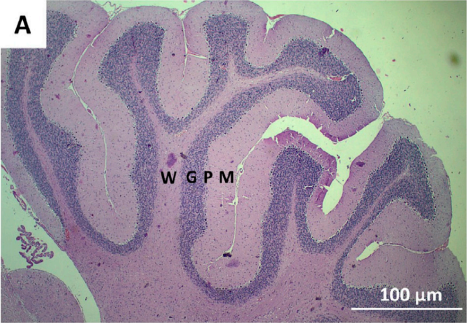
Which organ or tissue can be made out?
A: Cerebellar cortex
